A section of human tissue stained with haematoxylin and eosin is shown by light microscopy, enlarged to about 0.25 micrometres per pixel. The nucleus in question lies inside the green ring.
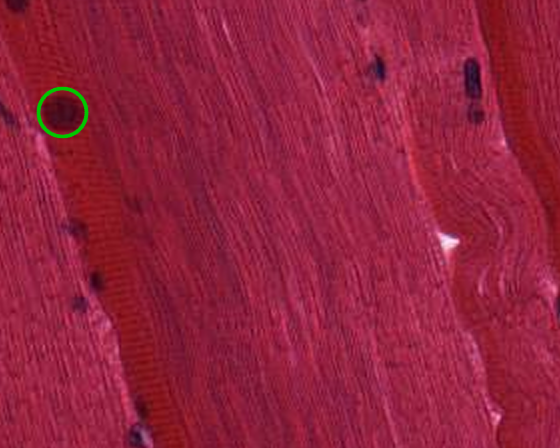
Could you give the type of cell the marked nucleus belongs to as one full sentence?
Indicated by the mark is a nucleus that belongs to a skeletal muscle fibre.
